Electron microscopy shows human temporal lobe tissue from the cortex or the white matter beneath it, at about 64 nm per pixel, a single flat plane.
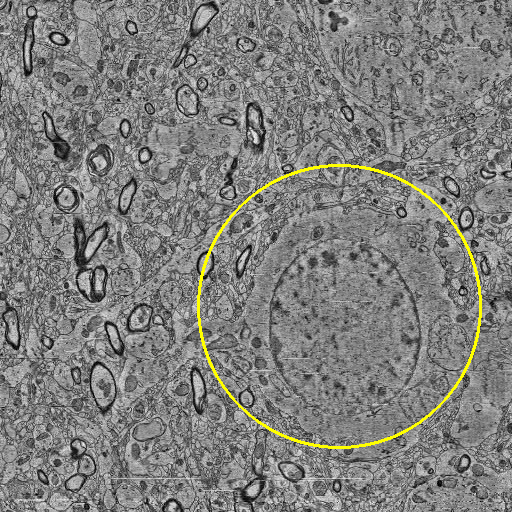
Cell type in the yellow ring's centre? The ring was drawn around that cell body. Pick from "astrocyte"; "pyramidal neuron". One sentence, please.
The ringed cell body is that of an astrocyte.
